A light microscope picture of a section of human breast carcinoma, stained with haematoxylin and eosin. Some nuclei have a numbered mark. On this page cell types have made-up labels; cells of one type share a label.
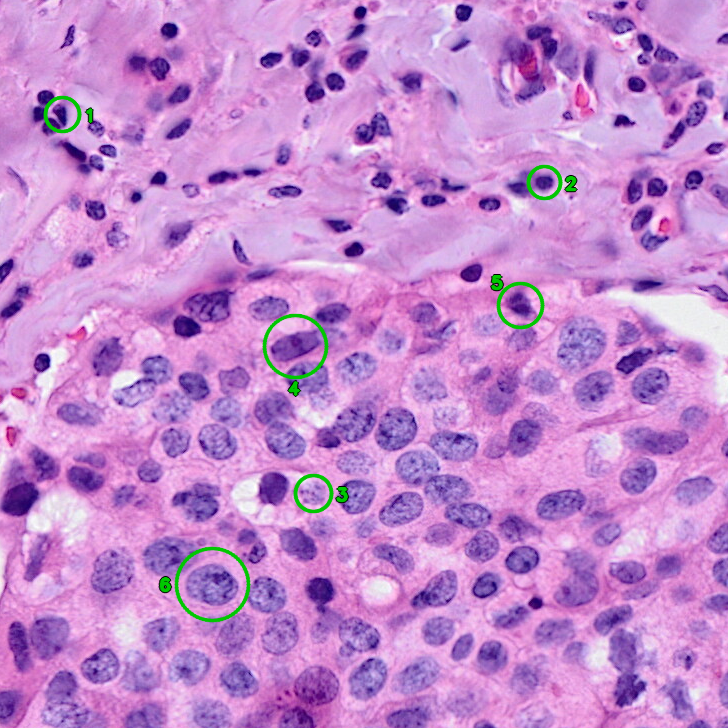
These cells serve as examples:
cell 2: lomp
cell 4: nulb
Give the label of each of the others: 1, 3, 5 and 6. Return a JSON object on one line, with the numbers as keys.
{"1": "lomp", "3": "nulb", "5": "nulb", "6": "nulb"}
